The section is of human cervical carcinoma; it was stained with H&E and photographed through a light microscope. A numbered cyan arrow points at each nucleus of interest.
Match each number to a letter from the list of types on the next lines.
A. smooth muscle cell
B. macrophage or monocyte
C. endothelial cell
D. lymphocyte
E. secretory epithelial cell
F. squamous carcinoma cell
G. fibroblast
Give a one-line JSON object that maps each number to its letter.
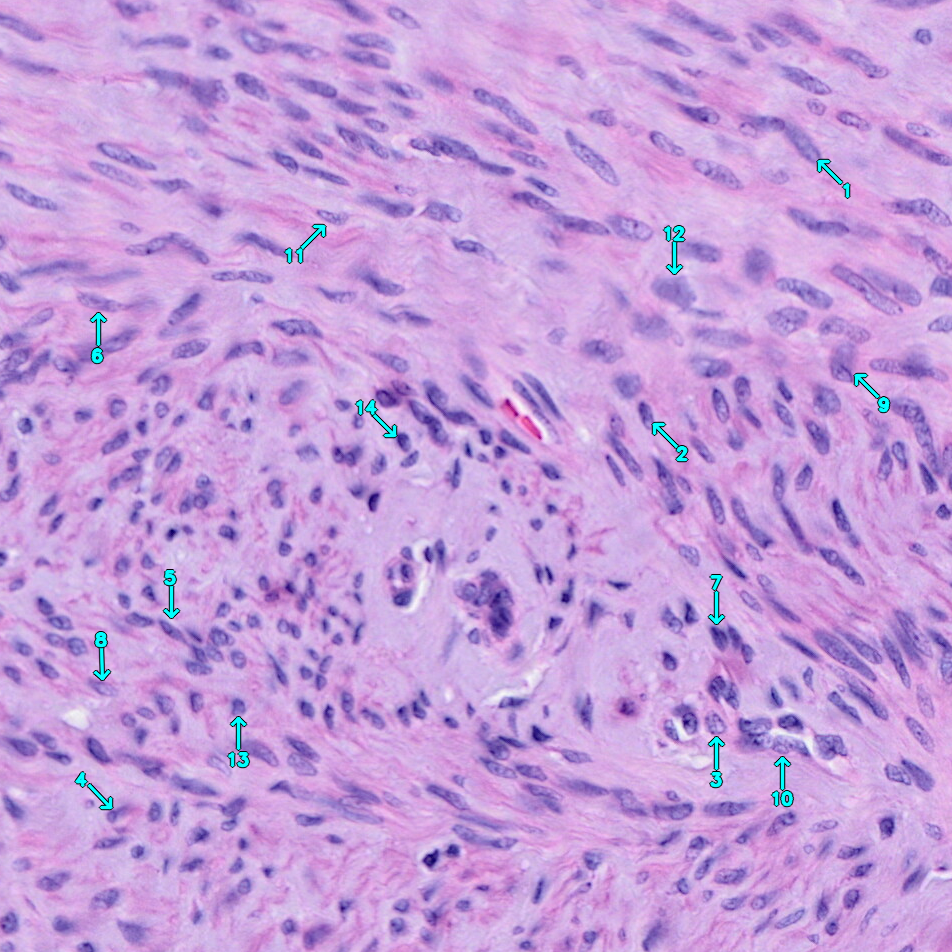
{"1": "A", "2": "G", "3": "C", "4": "A", "5": "A", "6": "A", "7": "G", "8": "A", "9": "A", "10": "C", "11": "A", "12": "G", "13": "A", "14": "G"}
